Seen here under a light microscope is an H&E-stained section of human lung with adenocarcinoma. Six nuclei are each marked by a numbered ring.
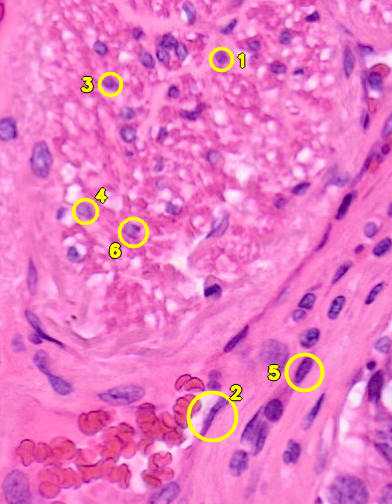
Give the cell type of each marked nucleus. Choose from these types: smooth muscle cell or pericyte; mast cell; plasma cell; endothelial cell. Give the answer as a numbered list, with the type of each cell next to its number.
1. smooth muscle cell or pericyte
2. endothelial cell
3. smooth muscle cell or pericyte
4. smooth muscle cell or pericyte
5. plasma cell
6. smooth muscle cell or pericyte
